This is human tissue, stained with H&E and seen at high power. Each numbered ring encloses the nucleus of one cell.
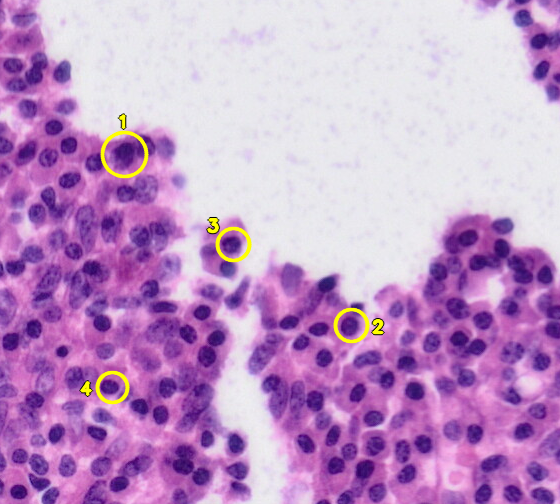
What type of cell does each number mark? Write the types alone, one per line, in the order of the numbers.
squamous epithelial cell
plasma cell
plasma cell
plasma cell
